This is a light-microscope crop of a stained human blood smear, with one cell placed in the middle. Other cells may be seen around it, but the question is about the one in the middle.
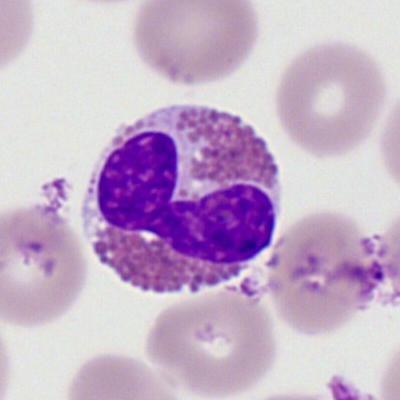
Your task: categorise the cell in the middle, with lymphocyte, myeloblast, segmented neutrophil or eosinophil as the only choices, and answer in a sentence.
Whatever else lies nearby, the middle cell is an eosinophil.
